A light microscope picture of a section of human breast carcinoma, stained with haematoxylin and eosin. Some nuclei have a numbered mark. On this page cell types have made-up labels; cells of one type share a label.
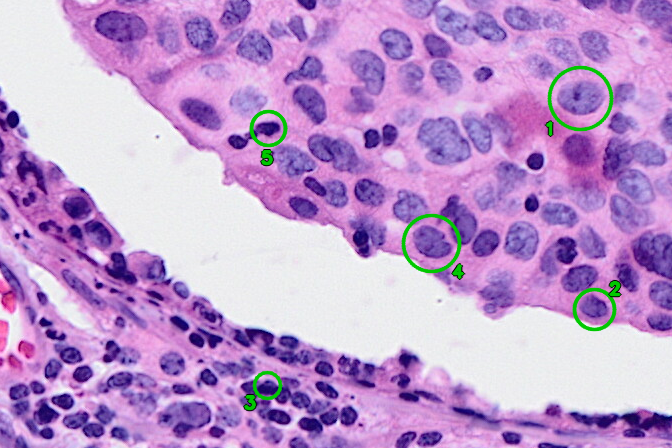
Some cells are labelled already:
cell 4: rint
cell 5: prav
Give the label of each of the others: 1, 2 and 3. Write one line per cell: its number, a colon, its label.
1: rint
2: rint
3: prav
